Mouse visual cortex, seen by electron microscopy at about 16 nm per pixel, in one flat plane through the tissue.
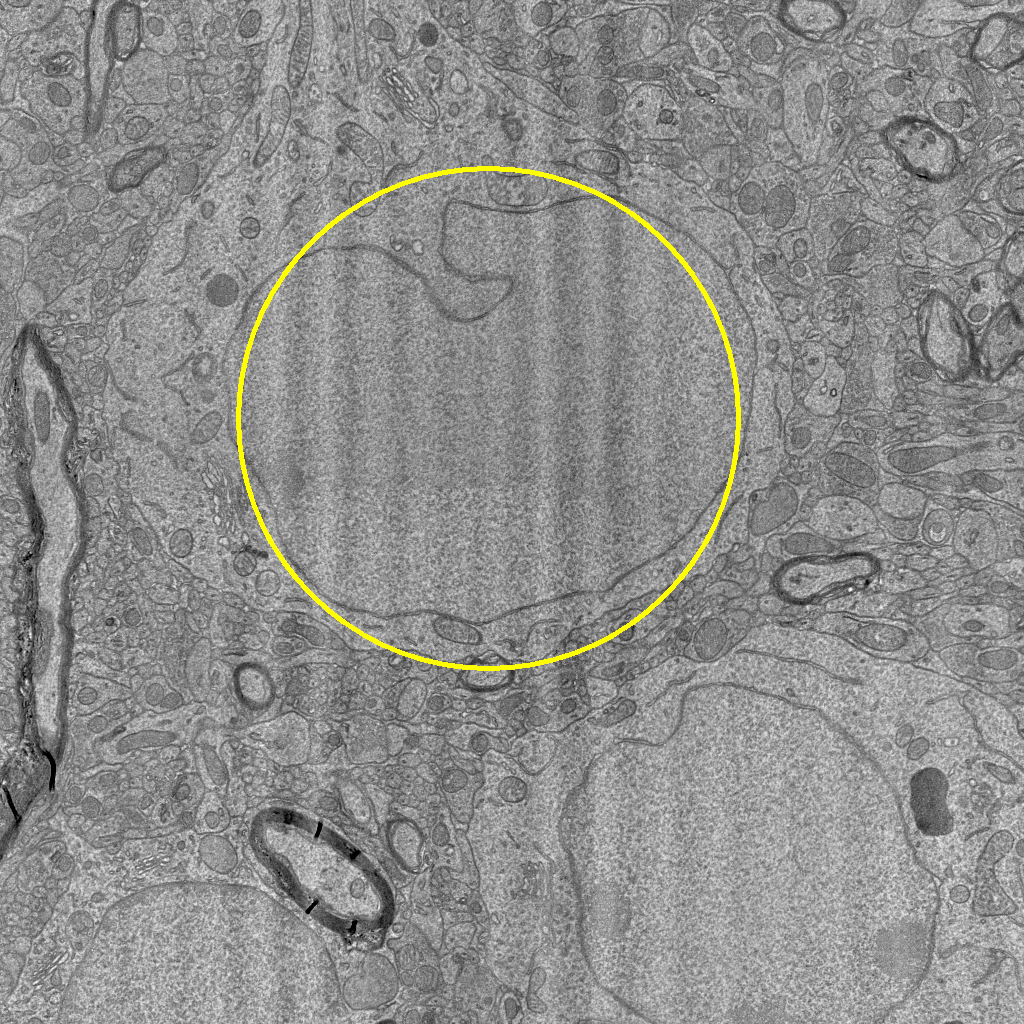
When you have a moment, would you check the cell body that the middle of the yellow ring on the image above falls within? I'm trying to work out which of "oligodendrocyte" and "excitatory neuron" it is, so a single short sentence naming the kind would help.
This cell body belongs to an excitatory neuron.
